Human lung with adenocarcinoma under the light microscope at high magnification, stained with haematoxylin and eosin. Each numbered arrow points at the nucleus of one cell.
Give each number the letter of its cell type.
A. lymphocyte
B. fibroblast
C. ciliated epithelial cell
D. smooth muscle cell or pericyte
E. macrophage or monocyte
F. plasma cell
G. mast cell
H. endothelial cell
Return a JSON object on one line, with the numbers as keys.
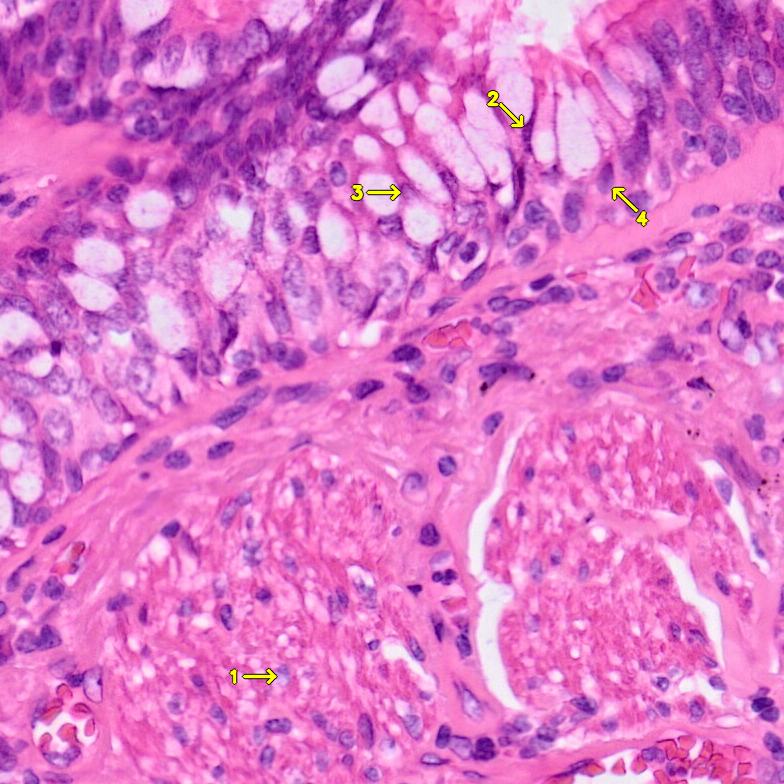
{"1": "D", "2": "C", "3": "C", "4": "C"}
